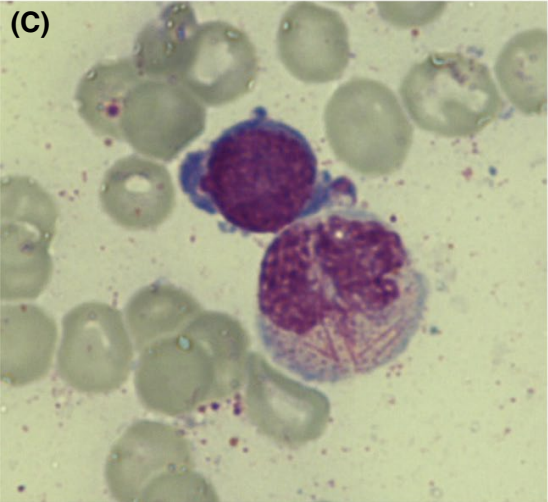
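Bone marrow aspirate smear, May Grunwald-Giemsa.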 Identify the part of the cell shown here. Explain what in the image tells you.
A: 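The lower cell contains several thin pink needle-like rods crossing in its cytoplasm. The rods lie grouped together in a bundle.
Conclusion: bundles of Auer rods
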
